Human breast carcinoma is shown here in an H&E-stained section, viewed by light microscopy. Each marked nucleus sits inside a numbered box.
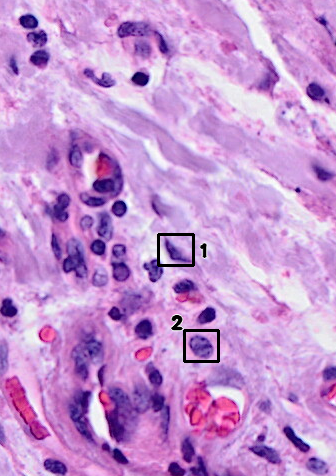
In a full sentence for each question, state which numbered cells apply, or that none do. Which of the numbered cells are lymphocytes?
From first to last, the numbered cells include no lymphocytes.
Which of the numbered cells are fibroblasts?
Only at number 1 is there a fibroblast.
